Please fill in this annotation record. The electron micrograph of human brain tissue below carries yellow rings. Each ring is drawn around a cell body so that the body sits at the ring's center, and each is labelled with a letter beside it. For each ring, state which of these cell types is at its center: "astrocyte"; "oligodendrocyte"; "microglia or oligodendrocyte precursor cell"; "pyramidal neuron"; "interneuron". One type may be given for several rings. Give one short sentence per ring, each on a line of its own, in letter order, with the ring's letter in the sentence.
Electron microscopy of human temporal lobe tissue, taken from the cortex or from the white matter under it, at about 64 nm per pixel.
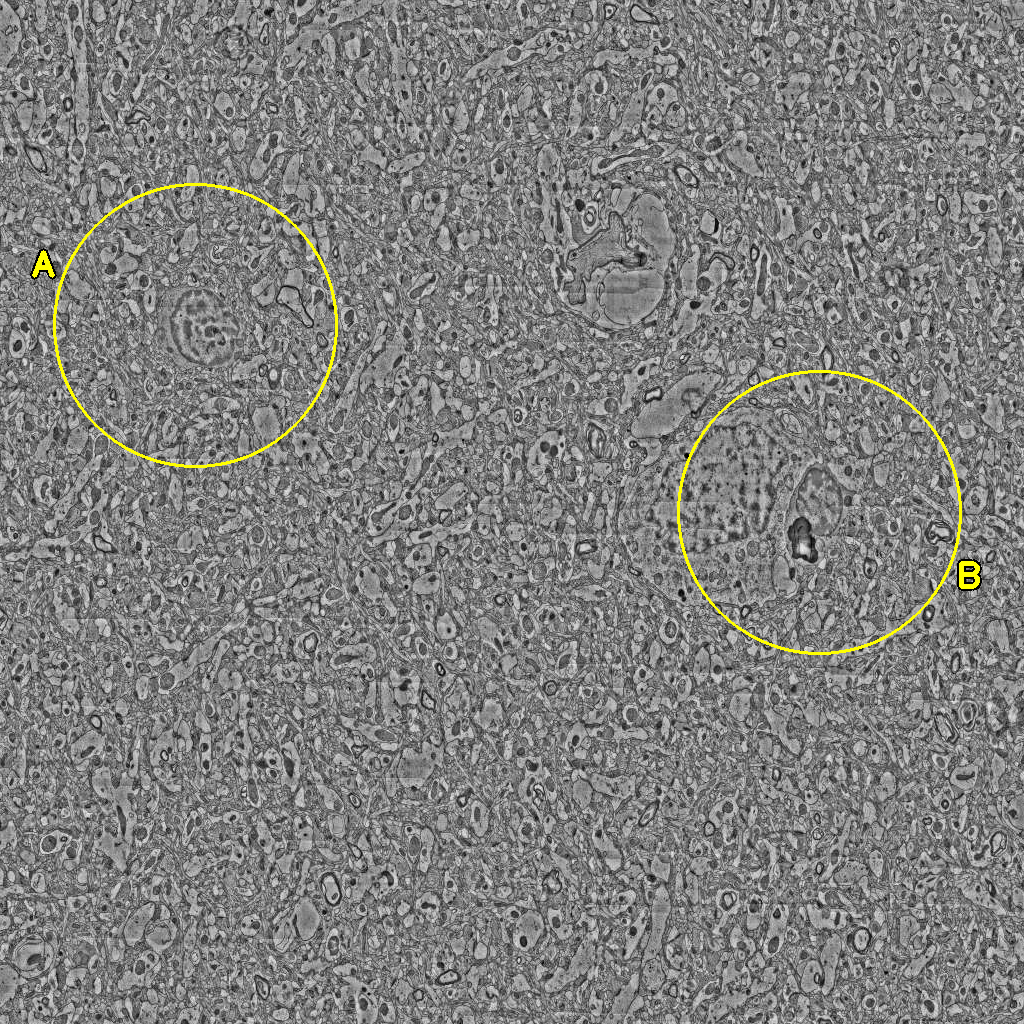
Ring A is drawn around an oligodendrocyte.
Ring B is drawn around an oligodendrocyte.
